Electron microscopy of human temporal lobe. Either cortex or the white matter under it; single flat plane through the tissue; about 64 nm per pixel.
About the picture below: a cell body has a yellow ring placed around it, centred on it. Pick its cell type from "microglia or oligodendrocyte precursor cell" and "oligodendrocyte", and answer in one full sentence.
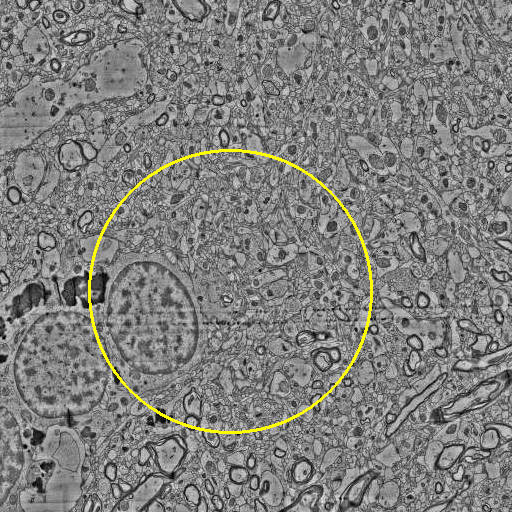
In the picture, an oligodendrocyte is the cell sitting at the centre of the yellow ring.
